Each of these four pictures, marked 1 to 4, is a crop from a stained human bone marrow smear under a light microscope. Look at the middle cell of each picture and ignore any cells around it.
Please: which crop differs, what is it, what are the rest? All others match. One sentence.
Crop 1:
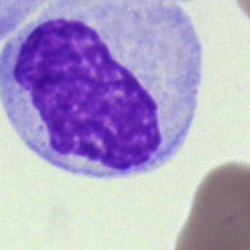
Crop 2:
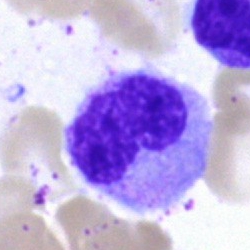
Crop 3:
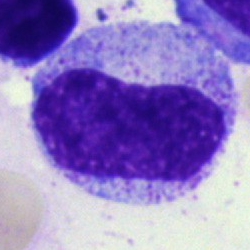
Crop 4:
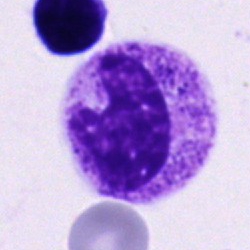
All the crops contain metamyelocytes save crop 1, where there is a monocyte.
